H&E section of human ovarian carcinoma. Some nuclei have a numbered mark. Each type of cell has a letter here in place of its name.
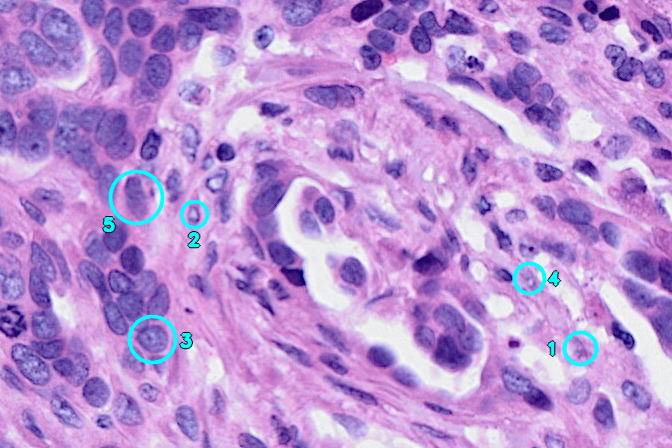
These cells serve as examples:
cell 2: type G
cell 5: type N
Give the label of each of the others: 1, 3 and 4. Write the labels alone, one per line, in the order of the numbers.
type G
type N
type G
